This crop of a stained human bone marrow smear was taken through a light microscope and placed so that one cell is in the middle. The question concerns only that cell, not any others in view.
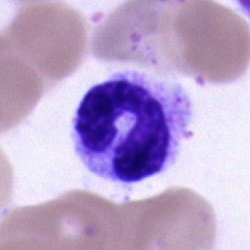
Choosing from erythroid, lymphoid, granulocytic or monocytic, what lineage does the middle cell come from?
granulocytic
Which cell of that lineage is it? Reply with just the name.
segmented neutrophil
